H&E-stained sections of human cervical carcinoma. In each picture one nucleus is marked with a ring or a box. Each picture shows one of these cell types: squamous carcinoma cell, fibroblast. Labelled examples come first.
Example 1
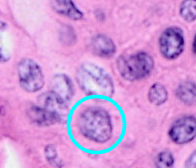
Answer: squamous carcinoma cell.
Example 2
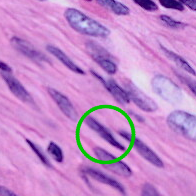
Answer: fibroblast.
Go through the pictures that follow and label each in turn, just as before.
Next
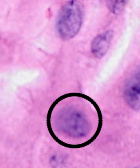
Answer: squamous carcinoma cell.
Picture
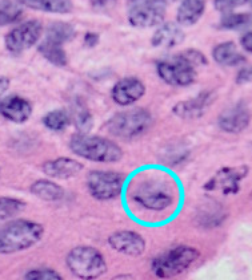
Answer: squamous carcinoma cell.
